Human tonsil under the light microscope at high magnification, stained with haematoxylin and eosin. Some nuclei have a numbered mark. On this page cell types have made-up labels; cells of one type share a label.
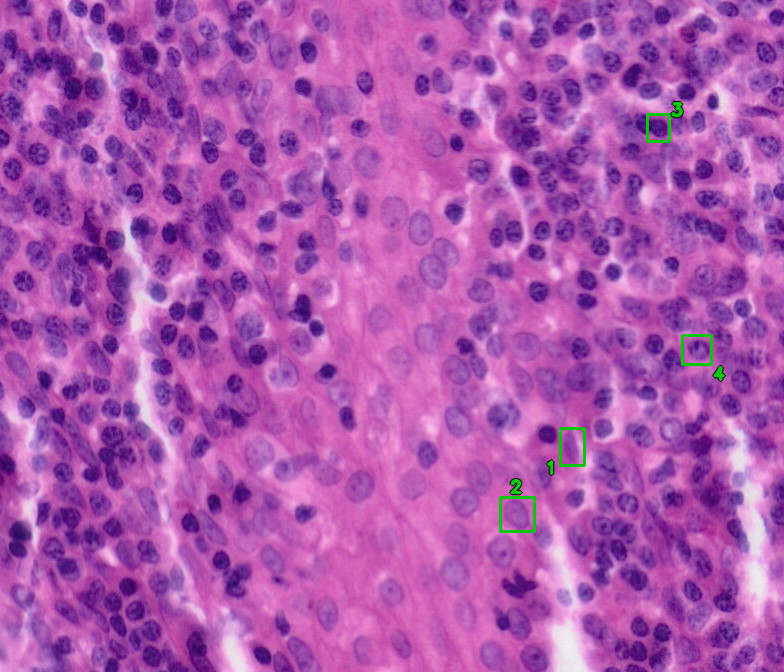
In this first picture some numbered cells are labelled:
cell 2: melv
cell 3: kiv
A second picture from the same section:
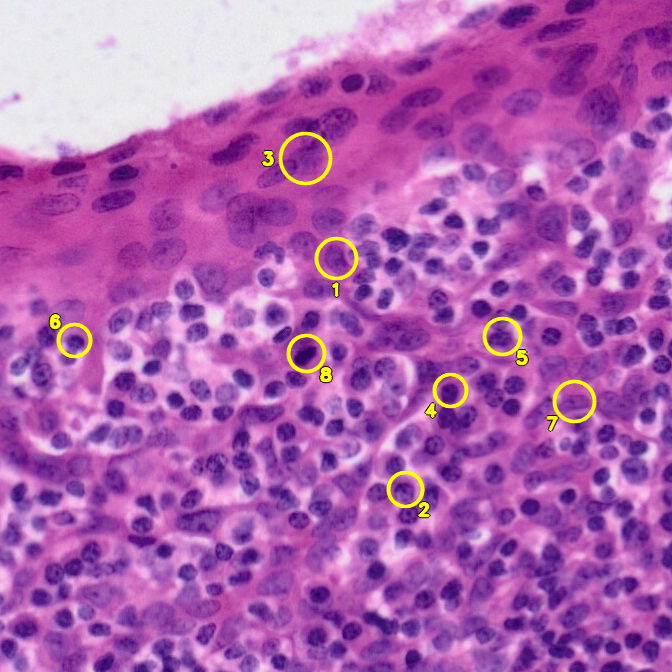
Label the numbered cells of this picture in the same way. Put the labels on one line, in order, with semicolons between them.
melv; kiv; melv; kiv; kiv; melv; melv; melv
